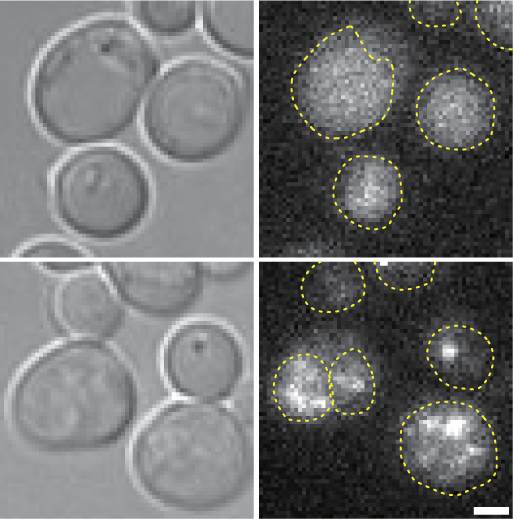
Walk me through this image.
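Round walled cells are seen in bright-field with matching fluorescence images beside them. In the fluorescence images the signal lies inside the dashed outlines of the vacuoles. In the upper set it fills each vacuole as a fine, even, grainy haze. In the lower set it forms brighter spots and patches scattered within the vacuole lumen, giving a more clumped pattern. The cytoplasm around the vacuoles stays dim.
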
